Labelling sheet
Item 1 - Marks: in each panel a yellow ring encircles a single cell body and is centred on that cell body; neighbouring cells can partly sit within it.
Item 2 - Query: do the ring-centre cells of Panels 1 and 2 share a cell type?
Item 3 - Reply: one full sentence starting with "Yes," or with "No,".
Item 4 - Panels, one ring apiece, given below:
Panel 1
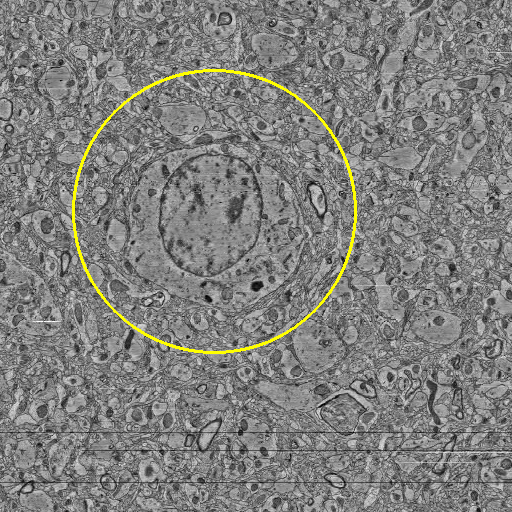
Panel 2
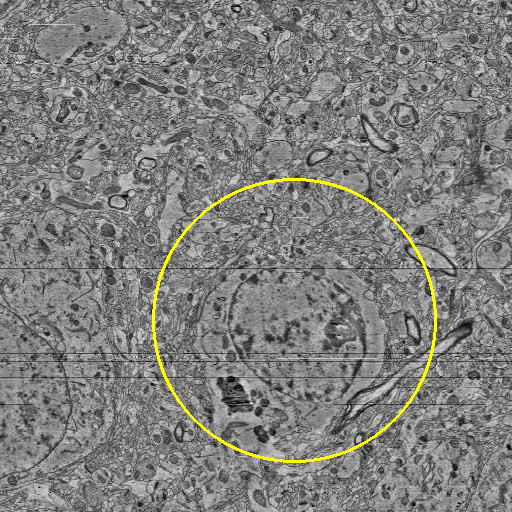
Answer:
No, Panel 1 and Panel 2 show two cell types at the centres of their rings.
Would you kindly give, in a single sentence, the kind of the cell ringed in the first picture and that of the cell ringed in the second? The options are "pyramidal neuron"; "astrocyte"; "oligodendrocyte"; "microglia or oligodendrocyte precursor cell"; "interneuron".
The second cell is an astrocyte, and the first cell is a pyramidal neuron.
